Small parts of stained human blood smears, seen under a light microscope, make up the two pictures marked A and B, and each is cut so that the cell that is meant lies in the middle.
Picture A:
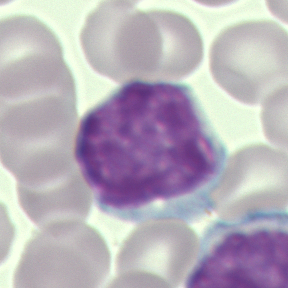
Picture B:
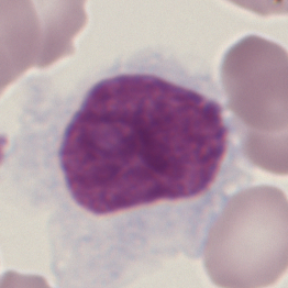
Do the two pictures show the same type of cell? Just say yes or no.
no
